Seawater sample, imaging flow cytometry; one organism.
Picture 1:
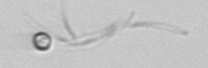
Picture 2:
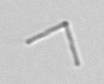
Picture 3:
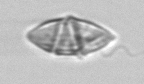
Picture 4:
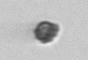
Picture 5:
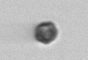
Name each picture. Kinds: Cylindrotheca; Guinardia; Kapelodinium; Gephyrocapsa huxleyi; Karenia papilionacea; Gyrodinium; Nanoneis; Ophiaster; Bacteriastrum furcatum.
(1) Ophiaster
(2) Nanoneis
(3) Gyrodinium
(4) Gephyrocapsa huxleyi
(5) Gephyrocapsa huxleyi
